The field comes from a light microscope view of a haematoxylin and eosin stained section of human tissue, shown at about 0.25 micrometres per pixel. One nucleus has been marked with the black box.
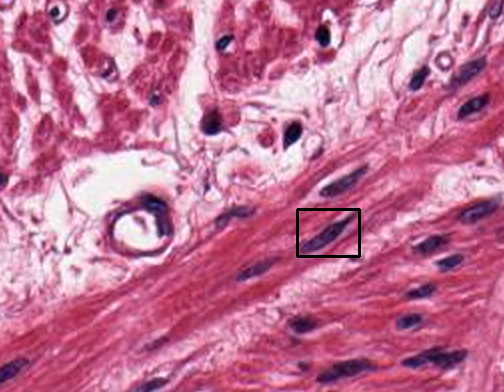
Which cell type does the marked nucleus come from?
smooth muscle cell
